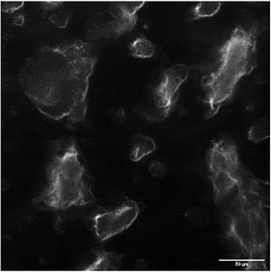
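The aggregates form separate, irregular bright patches with wide dark areas between them. The patches have bright rims and a paler, faintly textured interior. Small rounded bodies are scattered singly across the dark background.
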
